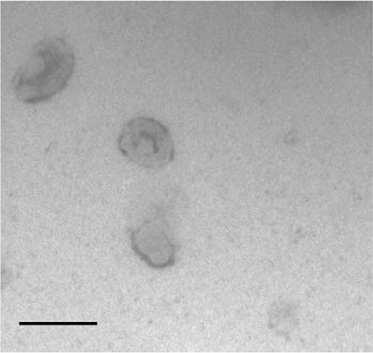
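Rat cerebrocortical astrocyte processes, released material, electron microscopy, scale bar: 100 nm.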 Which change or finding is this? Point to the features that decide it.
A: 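The rounded objects have a dark, rim-like edge. The outlines are slightly irregular rather than perfect circles.
Conclusion: cup shape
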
